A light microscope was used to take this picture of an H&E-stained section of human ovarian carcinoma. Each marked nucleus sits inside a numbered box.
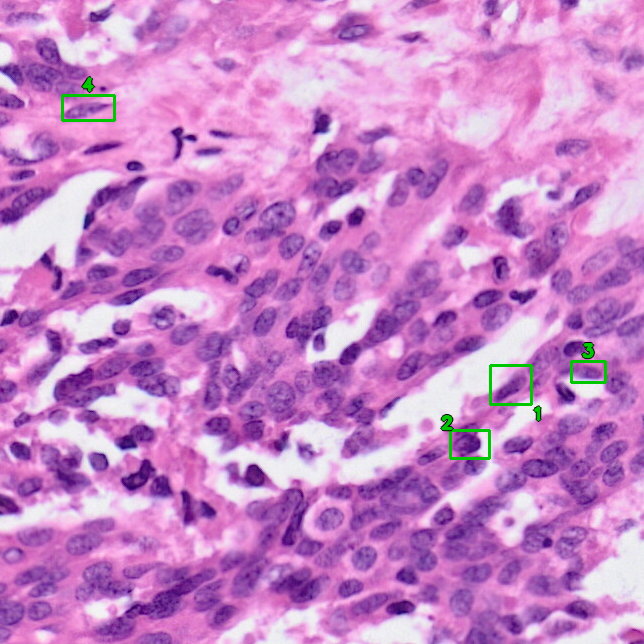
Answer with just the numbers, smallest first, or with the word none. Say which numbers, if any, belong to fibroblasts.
4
